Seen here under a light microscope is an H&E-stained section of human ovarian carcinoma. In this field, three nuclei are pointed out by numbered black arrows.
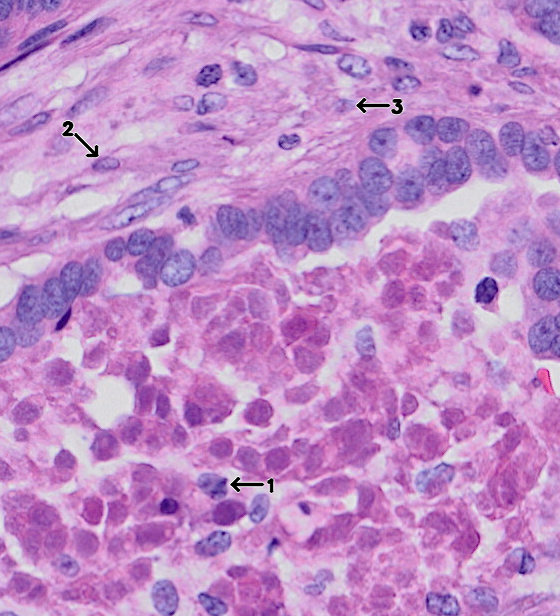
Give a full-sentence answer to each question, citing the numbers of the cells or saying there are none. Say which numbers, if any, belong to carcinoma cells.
The correct answer is that none of the numbered cells are carcinoma cells.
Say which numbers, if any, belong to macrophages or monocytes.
The nucleus numbered 1 is the only one that belongs to a macrophage or monocyte.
